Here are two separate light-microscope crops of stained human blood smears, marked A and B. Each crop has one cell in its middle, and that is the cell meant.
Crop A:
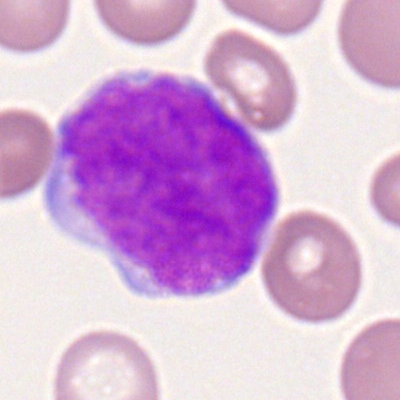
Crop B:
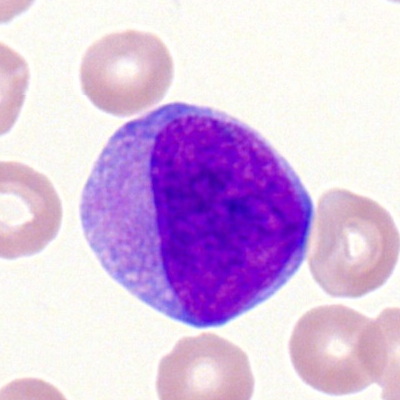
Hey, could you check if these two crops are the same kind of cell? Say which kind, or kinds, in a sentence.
Yes, the middle cells in both crops are indeed myeloblasts.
